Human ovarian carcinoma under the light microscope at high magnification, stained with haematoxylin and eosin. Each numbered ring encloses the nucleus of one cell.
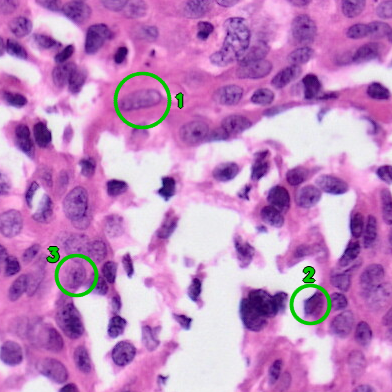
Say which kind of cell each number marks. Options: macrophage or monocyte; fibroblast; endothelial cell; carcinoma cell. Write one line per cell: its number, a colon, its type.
1: endothelial cell
2: carcinoma cell
3: carcinoma cell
